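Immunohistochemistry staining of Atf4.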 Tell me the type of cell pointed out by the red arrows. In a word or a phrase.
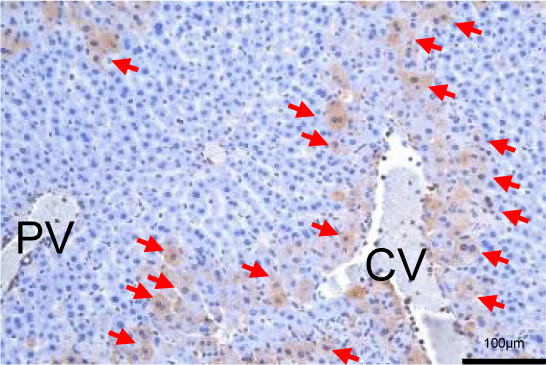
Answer: hepatocytes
